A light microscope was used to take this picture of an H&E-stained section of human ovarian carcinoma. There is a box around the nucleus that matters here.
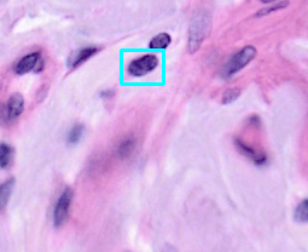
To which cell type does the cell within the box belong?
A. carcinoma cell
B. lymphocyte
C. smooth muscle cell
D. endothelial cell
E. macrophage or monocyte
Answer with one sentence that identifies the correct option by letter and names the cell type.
Option B is correct in that the cell within the box is a lymphocyte.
